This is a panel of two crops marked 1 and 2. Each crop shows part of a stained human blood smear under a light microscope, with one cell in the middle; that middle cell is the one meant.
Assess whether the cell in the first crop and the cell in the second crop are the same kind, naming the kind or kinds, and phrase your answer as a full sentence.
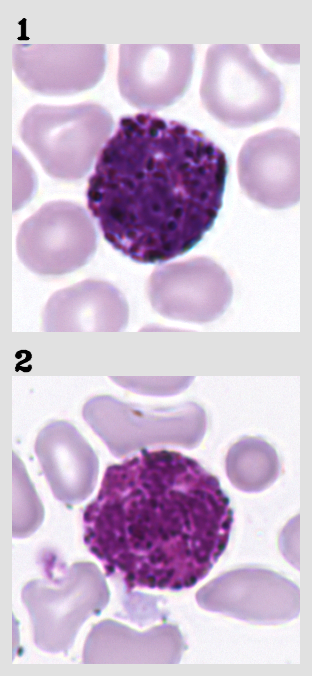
Yes, both crops have basophils as their central cells.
